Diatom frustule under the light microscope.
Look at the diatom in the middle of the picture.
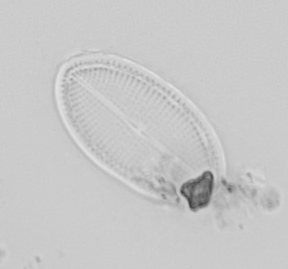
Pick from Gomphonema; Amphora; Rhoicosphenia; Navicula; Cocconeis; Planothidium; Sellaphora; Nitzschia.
Cocconeis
